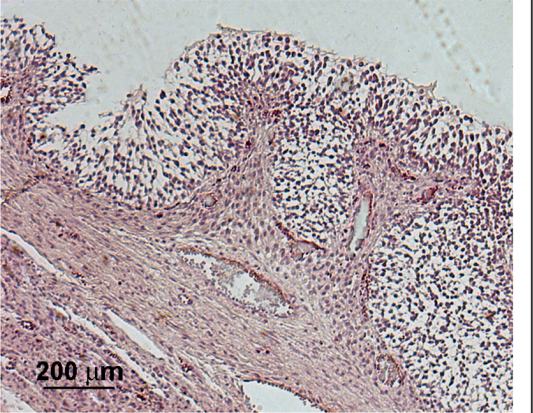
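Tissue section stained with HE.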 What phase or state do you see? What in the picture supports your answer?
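The cell layer facing the clear space is thick, with nuclei spaced apart in pale material. The cells of this layer look loosened rather than tightly packed. Spindle-shaped cells and vessels lie in the tissue beneath. The answer: periovulatory follicles.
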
